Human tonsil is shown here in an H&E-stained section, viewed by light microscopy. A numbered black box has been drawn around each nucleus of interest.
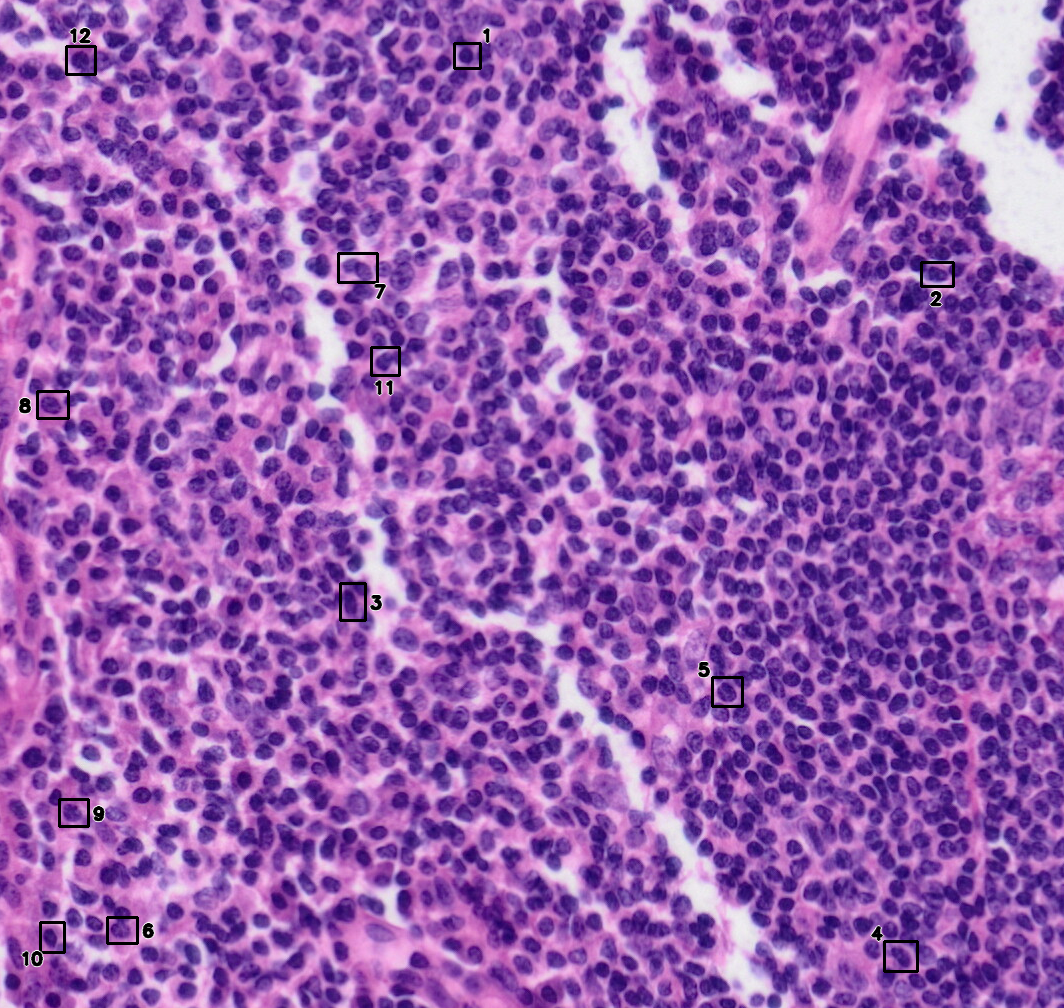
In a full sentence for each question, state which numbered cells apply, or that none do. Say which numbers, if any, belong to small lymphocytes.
In this section, the cells labelled 1, 2, 3, 4, 5, 7 and 11 are small lymphocytes.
